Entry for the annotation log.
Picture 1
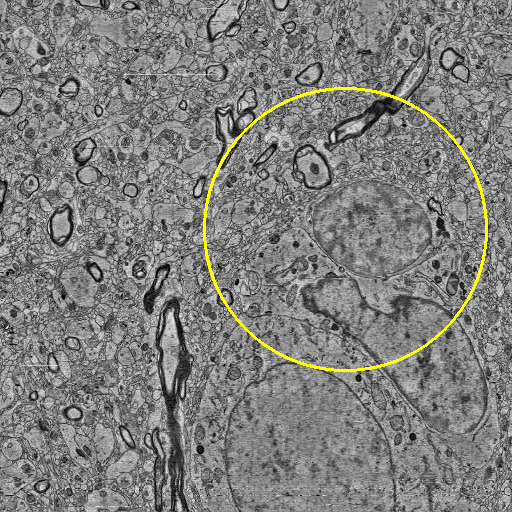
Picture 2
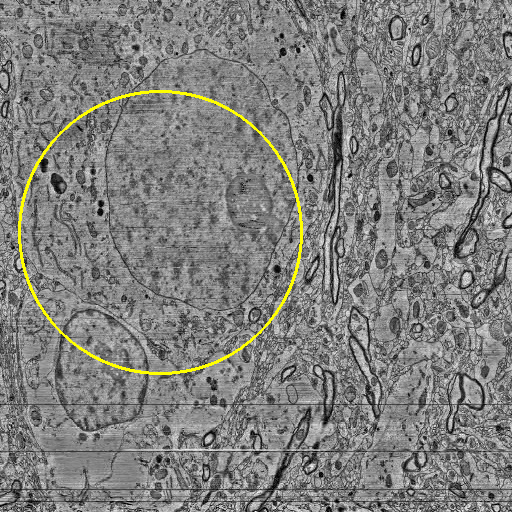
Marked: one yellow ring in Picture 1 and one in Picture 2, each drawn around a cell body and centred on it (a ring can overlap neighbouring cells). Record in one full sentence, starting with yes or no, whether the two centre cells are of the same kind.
No, the two cells are of two kinds.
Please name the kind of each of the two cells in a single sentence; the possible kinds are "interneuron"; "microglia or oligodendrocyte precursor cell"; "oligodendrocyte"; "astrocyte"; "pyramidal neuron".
In the first picture the ring is centred on an oligodendrocyte, and in the second on a pyramidal neuron.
